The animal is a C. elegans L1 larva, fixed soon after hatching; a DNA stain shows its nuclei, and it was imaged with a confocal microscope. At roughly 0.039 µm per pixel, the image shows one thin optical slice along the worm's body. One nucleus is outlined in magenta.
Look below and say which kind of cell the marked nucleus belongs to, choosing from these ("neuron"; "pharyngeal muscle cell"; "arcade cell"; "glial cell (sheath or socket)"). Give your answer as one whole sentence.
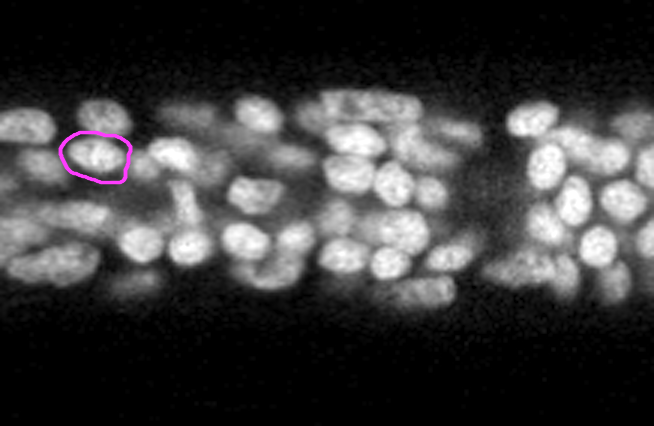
The cell with the marked nucleus is an arcade cell.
